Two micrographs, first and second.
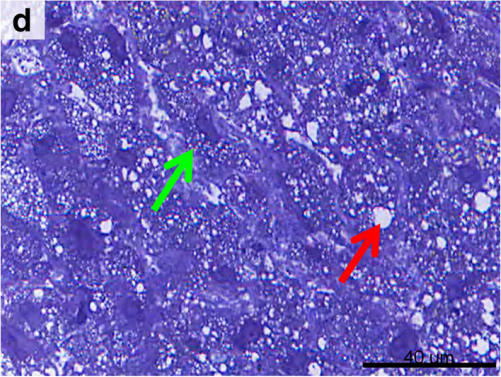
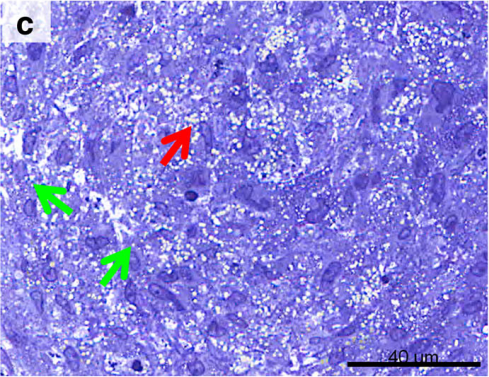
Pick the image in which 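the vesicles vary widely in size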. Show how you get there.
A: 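The first image. First image: clear vesicles range from tiny dots to large round spaces several times bigger. Second image: clear vesicles are mostly small dots of similar size.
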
